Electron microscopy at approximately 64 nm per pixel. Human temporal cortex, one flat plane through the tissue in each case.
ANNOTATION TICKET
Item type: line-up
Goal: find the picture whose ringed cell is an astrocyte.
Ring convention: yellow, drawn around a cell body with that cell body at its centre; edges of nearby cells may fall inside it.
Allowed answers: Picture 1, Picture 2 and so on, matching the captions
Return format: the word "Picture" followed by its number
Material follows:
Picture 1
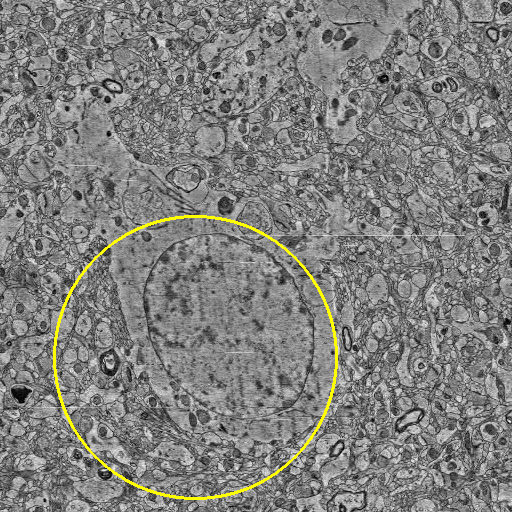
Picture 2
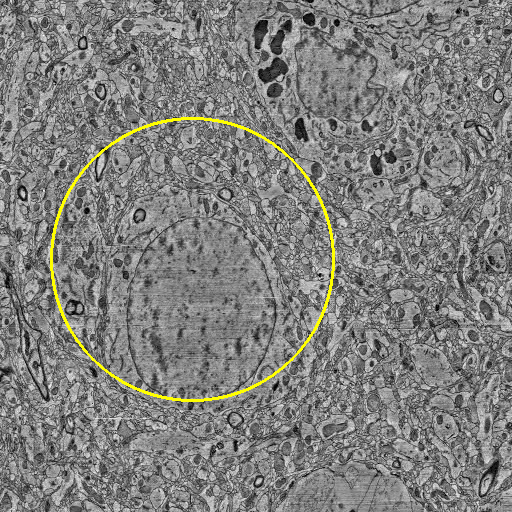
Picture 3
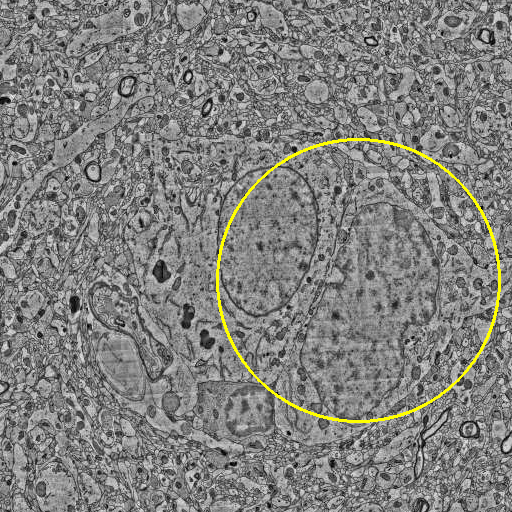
Picture 1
